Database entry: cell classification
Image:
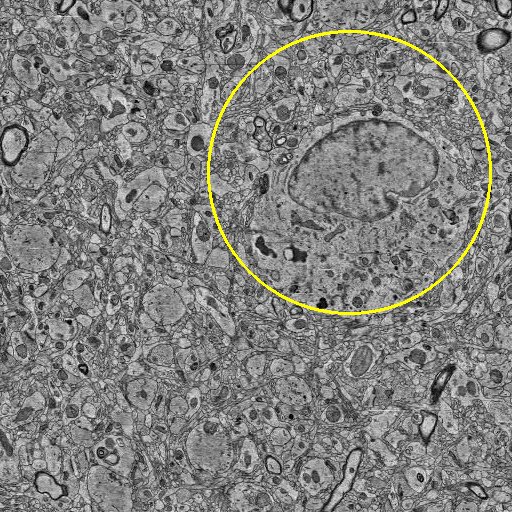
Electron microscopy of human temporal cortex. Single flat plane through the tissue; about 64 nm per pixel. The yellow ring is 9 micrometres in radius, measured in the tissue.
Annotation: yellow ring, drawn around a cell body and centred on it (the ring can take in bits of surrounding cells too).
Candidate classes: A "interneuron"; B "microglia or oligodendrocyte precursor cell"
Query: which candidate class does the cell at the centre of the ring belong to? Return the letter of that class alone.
B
